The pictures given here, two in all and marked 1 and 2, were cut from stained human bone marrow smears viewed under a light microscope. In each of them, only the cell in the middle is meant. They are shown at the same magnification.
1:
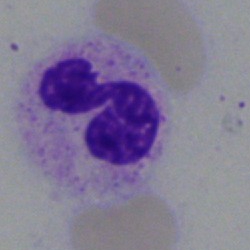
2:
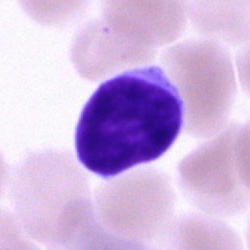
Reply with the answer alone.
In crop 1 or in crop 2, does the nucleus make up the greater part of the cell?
2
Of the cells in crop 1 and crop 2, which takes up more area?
1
